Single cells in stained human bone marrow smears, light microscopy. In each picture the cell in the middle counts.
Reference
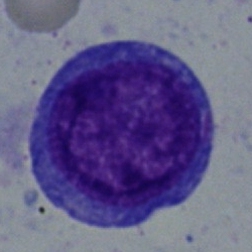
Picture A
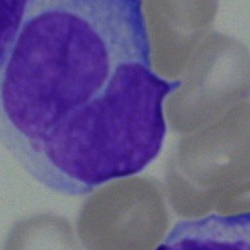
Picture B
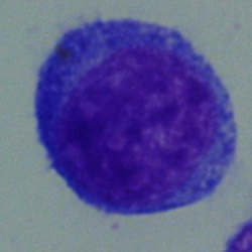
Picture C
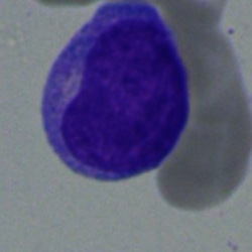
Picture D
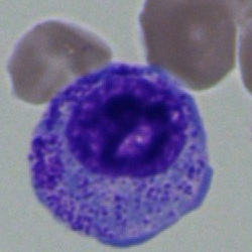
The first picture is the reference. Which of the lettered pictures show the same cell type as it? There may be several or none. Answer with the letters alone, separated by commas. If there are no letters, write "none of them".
A, B, C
